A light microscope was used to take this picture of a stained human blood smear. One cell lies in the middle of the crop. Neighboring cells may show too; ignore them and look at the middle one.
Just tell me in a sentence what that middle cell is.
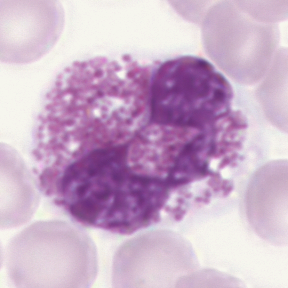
To answer, the cell in the center of the crop is an eosinophil.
